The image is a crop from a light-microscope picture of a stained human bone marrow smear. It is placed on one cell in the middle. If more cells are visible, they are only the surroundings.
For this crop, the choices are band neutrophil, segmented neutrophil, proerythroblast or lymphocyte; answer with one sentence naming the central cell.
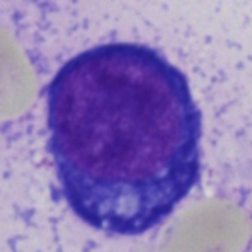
The center cell of this crop is a proerythroblast.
